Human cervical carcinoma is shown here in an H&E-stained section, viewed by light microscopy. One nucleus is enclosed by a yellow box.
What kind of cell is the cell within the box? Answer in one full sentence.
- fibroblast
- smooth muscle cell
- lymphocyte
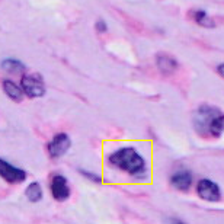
In the tissue under study, the cell within the box is a lymphocyte.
